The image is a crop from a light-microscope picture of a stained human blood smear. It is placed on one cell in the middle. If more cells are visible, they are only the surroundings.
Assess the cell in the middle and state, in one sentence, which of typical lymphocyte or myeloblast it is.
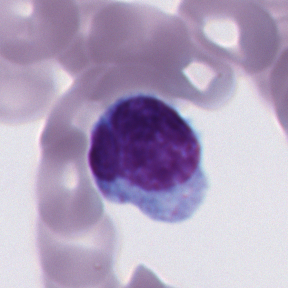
By type, the central cell of the crop is a typical lymphocyte.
